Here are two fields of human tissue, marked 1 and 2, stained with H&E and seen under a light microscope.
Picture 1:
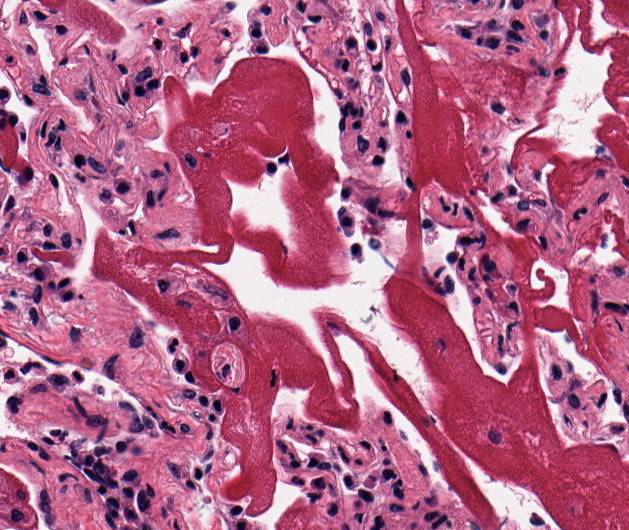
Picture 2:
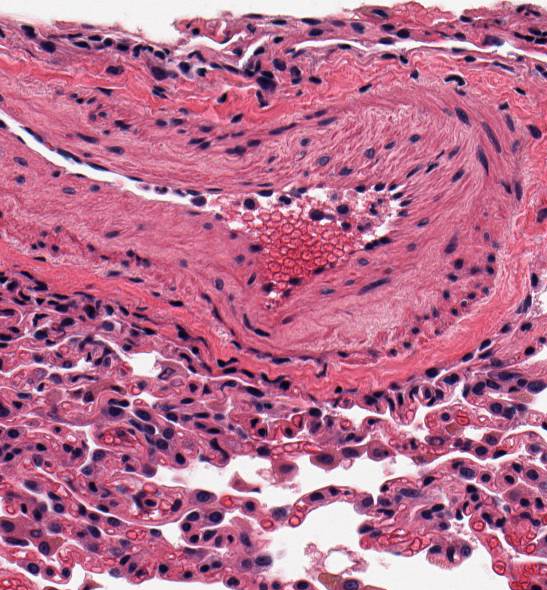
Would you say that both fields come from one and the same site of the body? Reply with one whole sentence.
Yes; both pictures come from the lung.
